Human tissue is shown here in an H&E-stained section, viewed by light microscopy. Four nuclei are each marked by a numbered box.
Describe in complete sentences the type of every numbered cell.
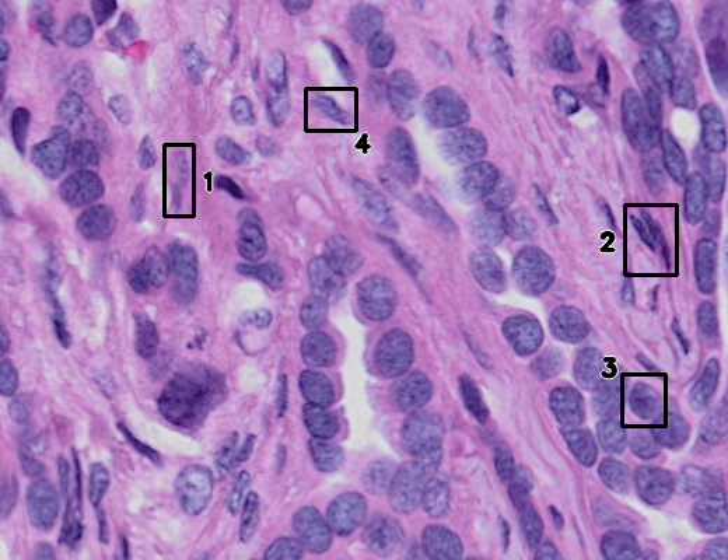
Cells 1, 2 and 4 are fibroblasts. Cell 3 is a carcinoma cell.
